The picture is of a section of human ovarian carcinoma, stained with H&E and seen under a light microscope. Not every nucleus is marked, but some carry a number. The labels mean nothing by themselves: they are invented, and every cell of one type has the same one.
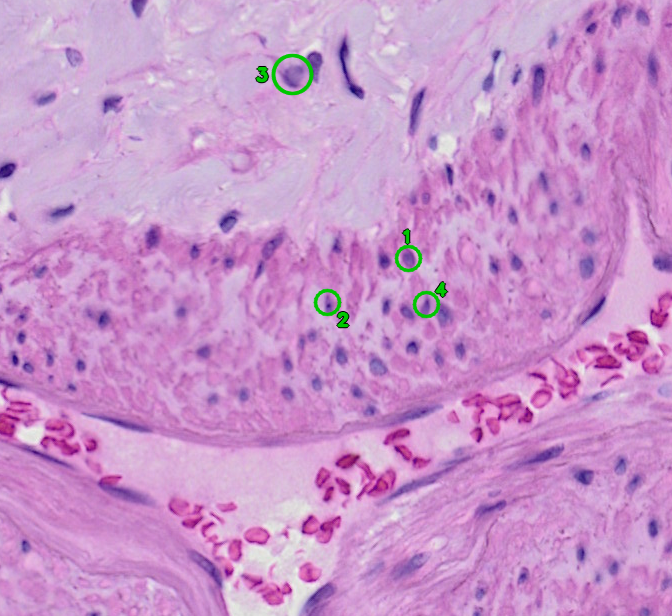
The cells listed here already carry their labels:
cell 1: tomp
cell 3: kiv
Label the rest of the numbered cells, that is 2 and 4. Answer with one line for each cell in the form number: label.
2: tomp
4: tomp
